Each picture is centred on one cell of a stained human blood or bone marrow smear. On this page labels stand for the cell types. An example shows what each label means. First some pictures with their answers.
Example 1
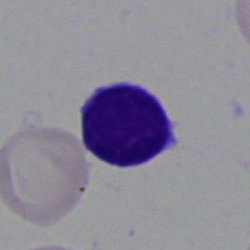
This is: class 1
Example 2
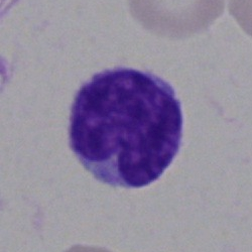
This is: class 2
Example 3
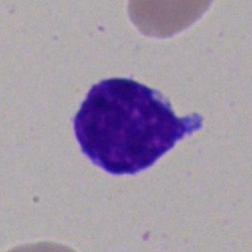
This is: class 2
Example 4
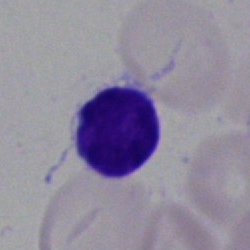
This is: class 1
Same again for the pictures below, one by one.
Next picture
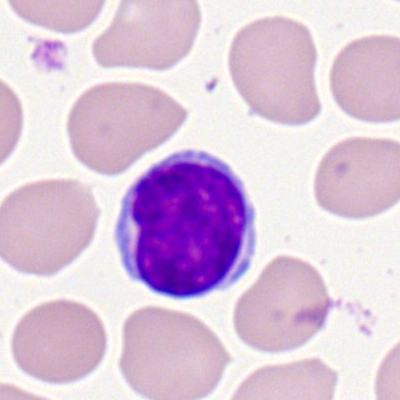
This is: class 1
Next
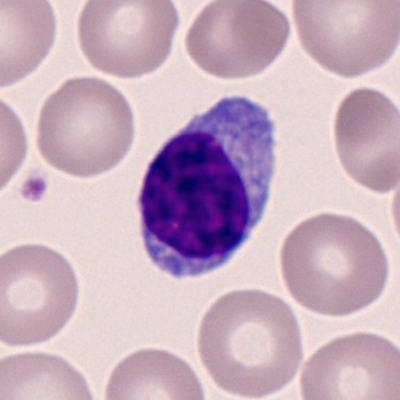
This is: class 1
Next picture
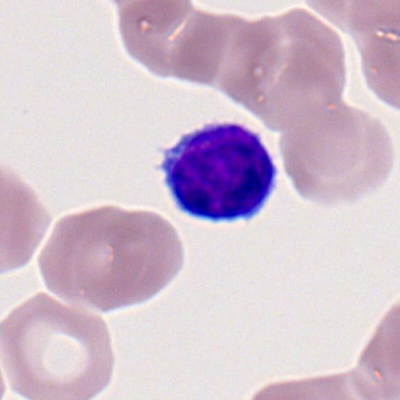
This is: class 1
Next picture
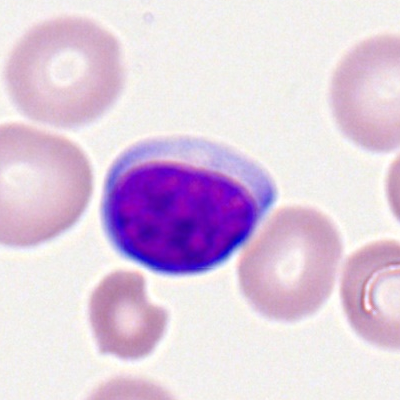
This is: class 1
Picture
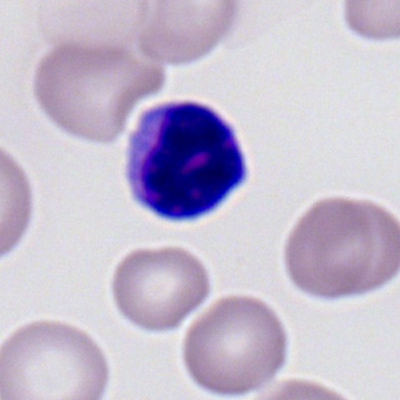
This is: class 1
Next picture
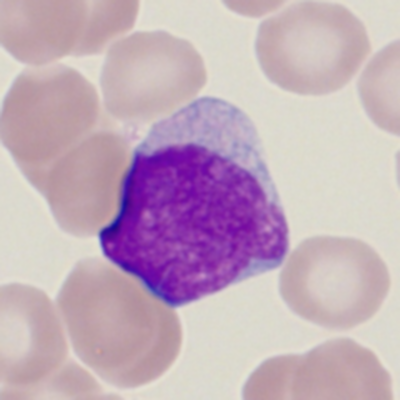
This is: class 2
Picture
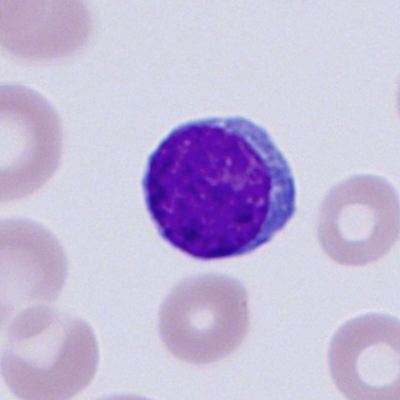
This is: class 1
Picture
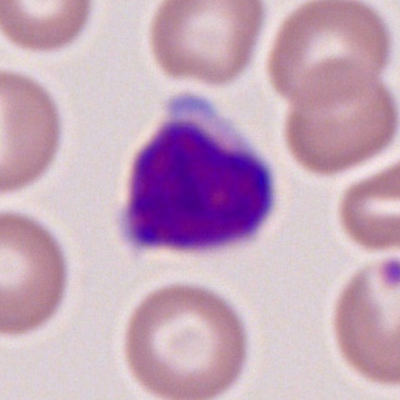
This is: class 1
